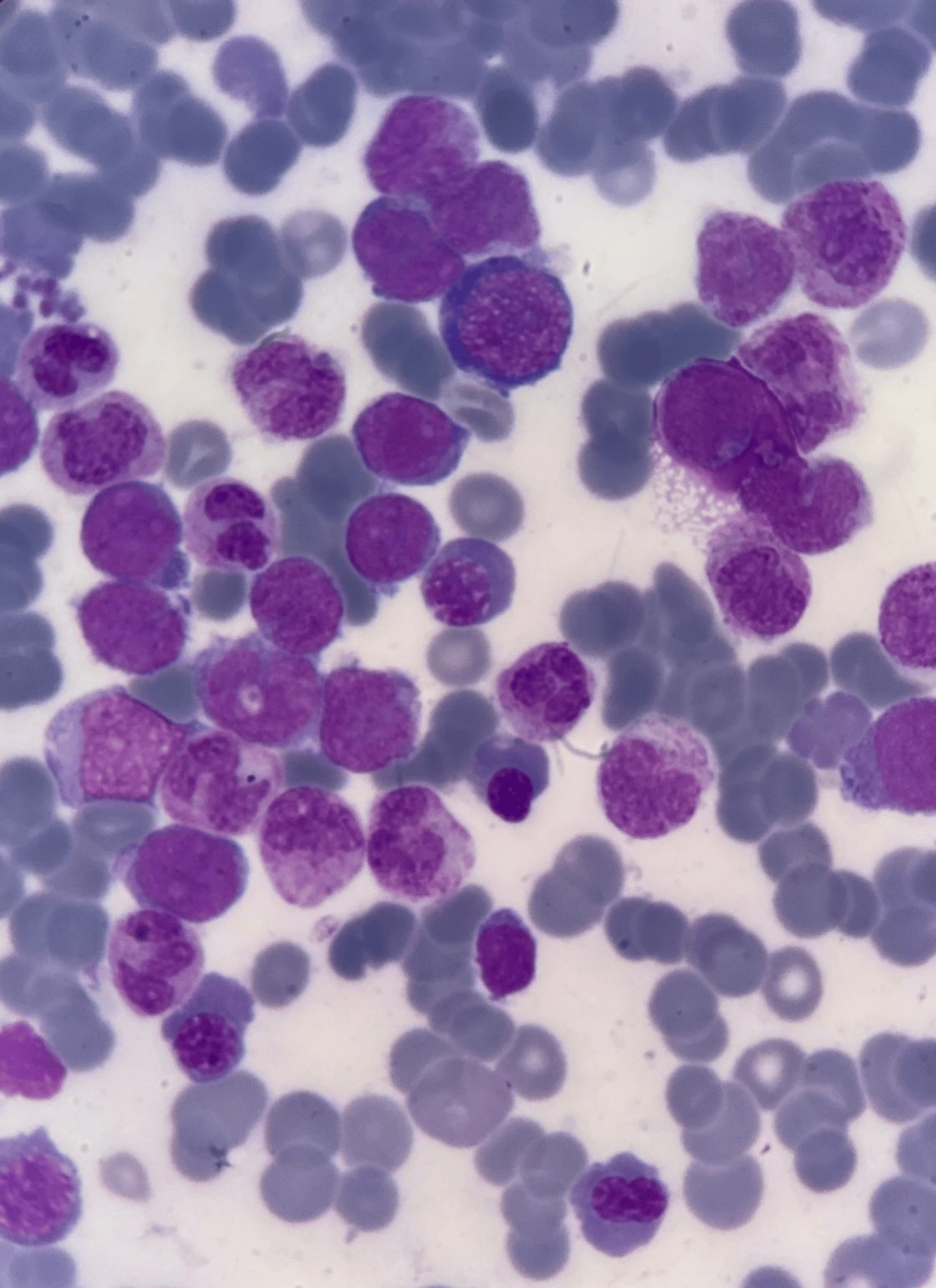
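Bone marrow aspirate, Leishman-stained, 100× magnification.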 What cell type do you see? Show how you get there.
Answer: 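Blast cells. Most nucleated cells are large, with round to oval purple nuclei.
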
